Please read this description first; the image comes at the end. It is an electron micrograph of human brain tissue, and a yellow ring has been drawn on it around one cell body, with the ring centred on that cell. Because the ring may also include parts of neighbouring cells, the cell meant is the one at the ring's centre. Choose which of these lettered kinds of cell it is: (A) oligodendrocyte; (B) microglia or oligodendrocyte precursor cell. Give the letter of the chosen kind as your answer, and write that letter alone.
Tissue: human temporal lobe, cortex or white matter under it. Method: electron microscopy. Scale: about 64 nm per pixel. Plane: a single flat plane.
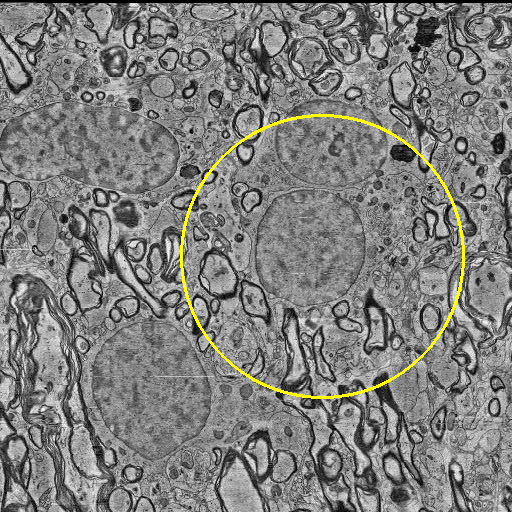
A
